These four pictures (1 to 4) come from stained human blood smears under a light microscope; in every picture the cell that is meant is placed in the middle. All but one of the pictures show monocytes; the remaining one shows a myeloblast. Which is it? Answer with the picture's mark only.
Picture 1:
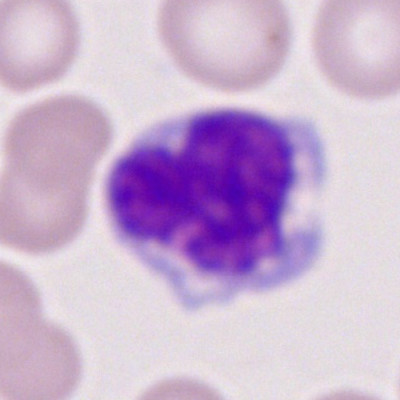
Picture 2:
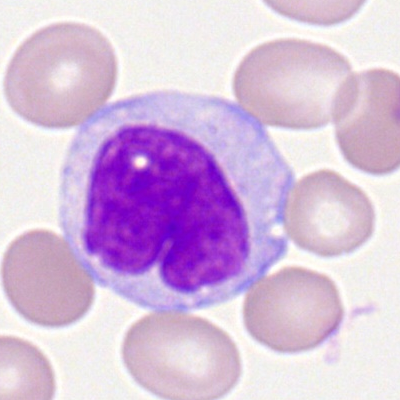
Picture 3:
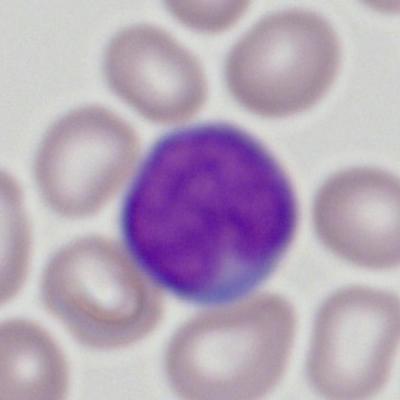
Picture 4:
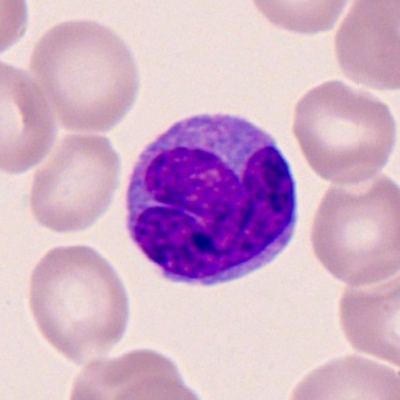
3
